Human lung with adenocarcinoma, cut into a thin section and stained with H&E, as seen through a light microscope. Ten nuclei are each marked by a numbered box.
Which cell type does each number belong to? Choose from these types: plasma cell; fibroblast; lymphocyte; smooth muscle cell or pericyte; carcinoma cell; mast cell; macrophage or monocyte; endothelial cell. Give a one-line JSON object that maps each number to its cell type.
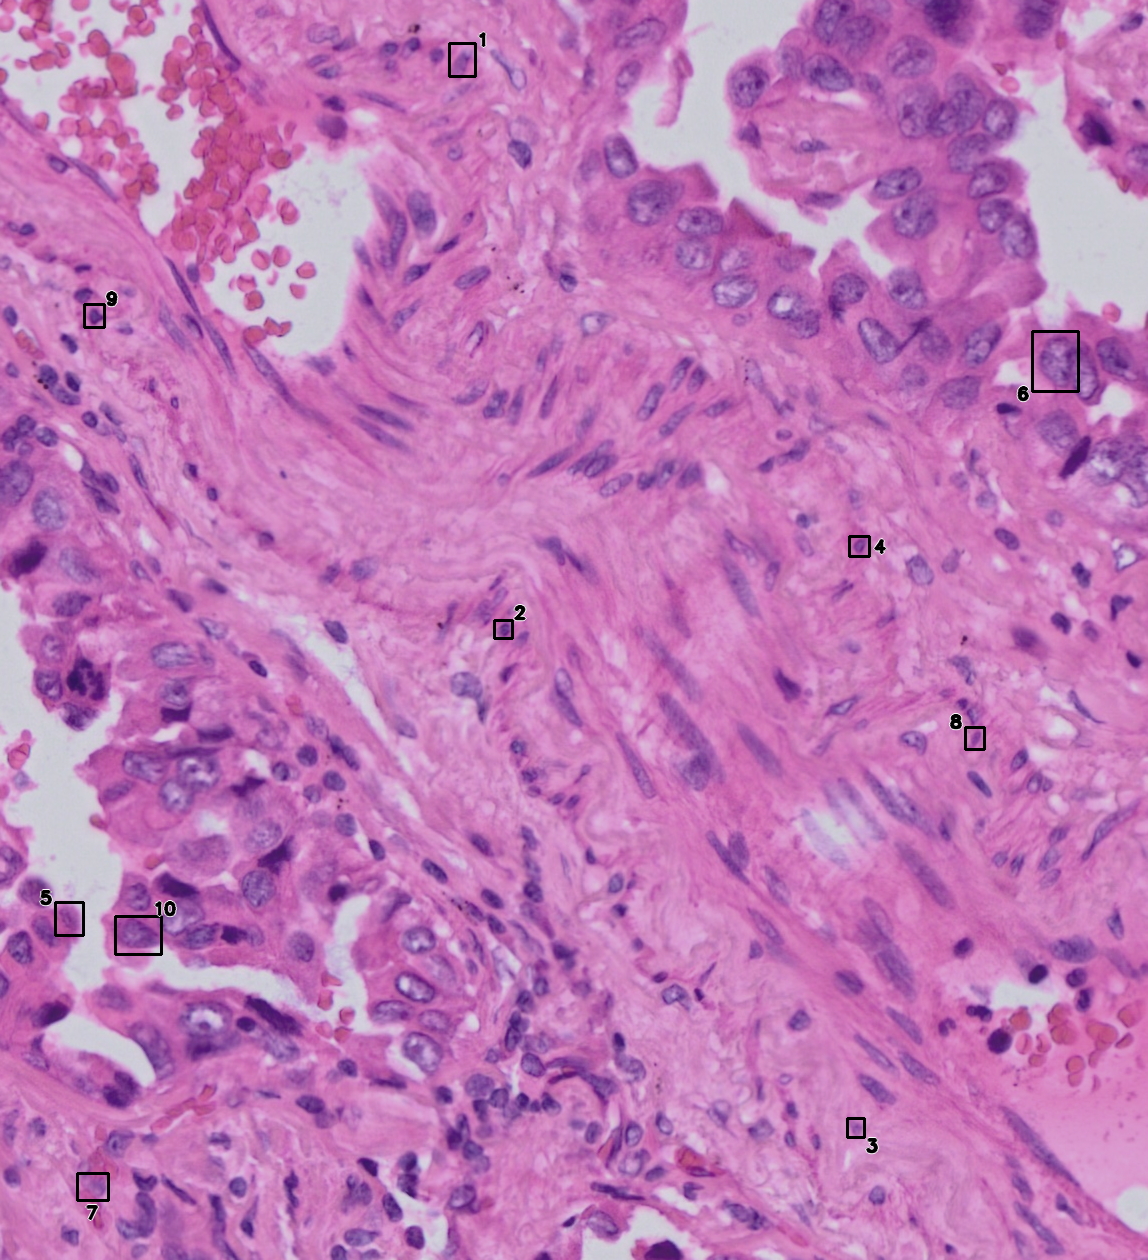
{"1": "smooth muscle cell or pericyte", "2": "smooth muscle cell or pericyte", "3": "smooth muscle cell or pericyte", "4": "smooth muscle cell or pericyte", "5": "carcinoma cell", "6": "carcinoma cell", "7": "endothelial cell", "8": "smooth muscle cell or pericyte", "9": "smooth muscle cell or pericyte", "10": "carcinoma cell"}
